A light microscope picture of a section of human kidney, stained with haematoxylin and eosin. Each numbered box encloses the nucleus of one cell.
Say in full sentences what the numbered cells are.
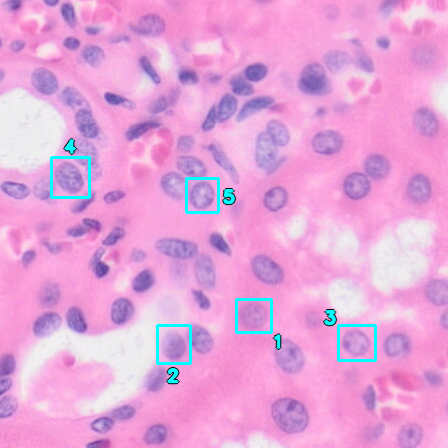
Cell 1 is a proximal tubule cell, cell 2 is a collecting duct cell, cell 3 is a proximal tubule cell, cell 4 is a collecting duct cell and cell 5 is a collecting duct cell.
